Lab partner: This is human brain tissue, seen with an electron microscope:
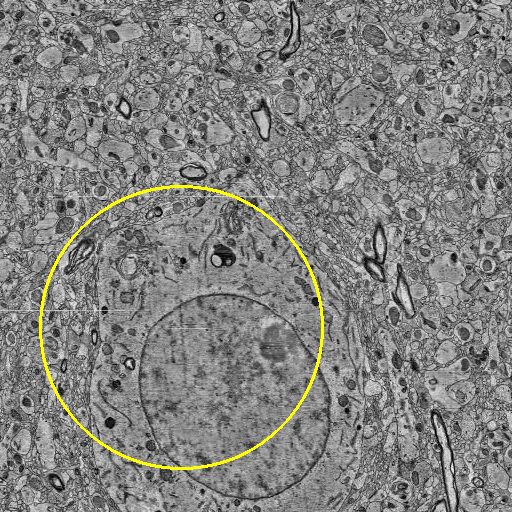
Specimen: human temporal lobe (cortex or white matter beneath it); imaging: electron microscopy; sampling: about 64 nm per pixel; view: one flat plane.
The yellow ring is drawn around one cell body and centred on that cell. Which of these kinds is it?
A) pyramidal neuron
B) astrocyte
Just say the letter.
A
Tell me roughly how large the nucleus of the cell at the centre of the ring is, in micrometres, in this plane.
About 14 by 12 micrometers, in this plane.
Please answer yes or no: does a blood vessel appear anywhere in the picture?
No, none shows.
